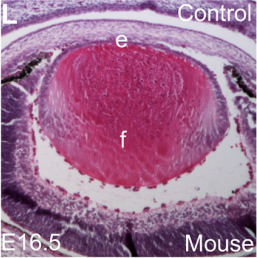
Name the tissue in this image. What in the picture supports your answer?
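Lens. A large pink, evenly stained oval body sits in the centre of the eye. It is bordered by dark pigmented and layered tissue at the sides.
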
